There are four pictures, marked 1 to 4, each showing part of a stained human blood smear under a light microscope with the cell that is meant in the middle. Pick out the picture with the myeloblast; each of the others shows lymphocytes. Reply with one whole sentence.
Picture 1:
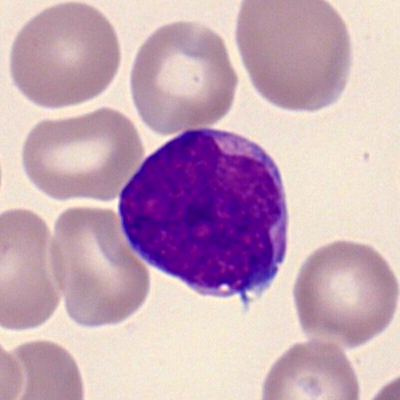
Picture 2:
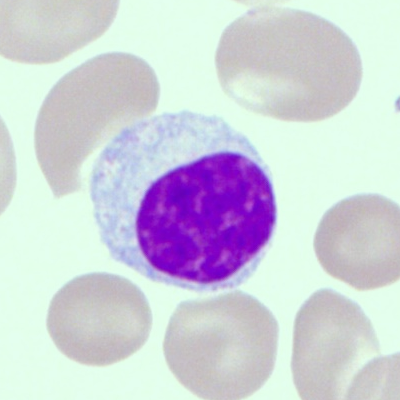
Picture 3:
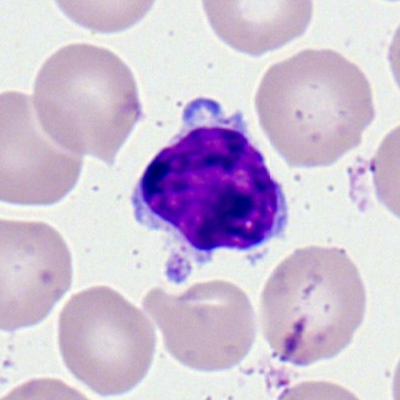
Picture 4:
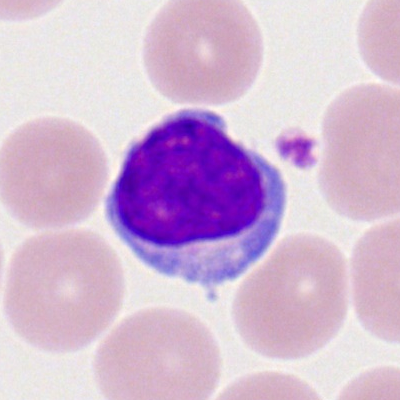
The myeloblast is the one in picture 1.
